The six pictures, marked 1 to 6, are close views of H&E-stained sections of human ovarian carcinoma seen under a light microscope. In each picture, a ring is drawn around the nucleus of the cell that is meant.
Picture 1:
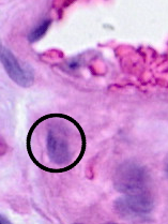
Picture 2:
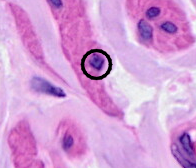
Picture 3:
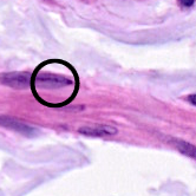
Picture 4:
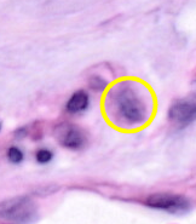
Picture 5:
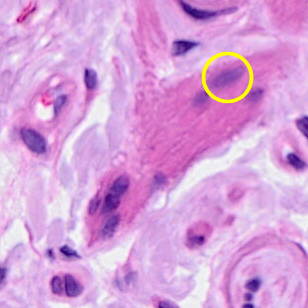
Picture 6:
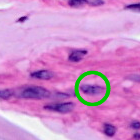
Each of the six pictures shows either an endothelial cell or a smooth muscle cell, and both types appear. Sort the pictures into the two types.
1: endothelial cell
2: smooth muscle cell
3: smooth muscle cell
4: endothelial cell
5: smooth muscle cell
6: smooth muscle cell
